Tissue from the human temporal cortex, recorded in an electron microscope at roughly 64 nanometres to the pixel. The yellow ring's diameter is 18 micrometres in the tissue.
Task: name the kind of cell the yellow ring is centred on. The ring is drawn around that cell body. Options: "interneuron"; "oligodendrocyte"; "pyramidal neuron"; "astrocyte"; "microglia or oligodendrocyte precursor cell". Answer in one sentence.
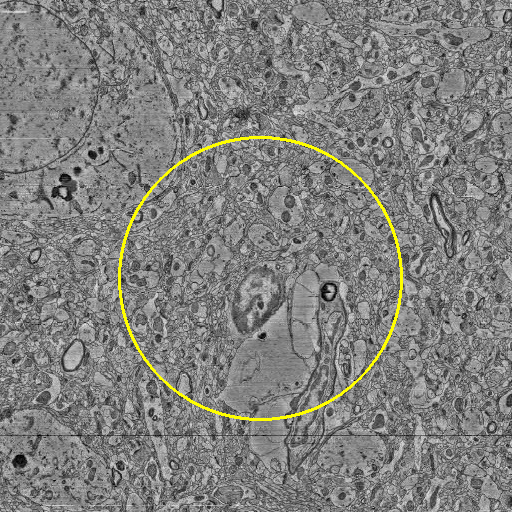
This cell body belongs to an oligodendrocyte.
